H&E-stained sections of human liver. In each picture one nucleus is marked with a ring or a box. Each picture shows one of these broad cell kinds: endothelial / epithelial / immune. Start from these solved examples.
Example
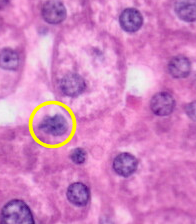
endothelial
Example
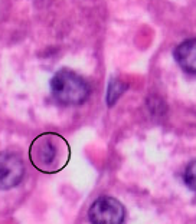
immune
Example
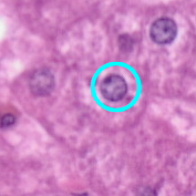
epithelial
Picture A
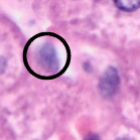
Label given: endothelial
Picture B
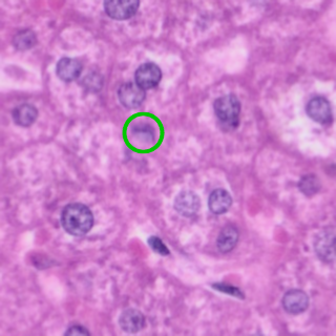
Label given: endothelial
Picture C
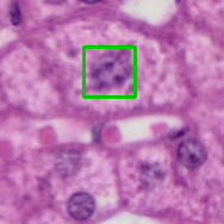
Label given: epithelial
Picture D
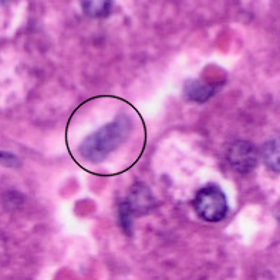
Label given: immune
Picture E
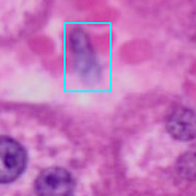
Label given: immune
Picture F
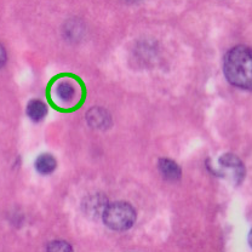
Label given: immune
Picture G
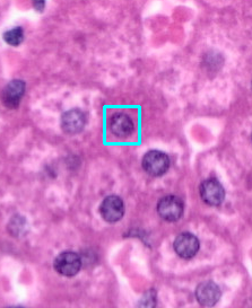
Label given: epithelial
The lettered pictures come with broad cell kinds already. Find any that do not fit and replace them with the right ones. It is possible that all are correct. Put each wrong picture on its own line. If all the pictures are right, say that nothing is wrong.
None of the labels needs changing.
